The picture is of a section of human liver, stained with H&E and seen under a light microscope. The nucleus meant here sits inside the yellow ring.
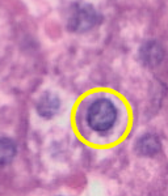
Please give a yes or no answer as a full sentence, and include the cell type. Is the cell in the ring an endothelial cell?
No, the cell in the ring corresponds to a hepatocyte rather than to an endothelial cell.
